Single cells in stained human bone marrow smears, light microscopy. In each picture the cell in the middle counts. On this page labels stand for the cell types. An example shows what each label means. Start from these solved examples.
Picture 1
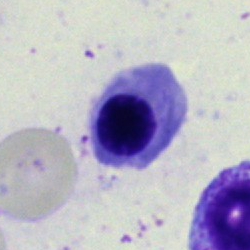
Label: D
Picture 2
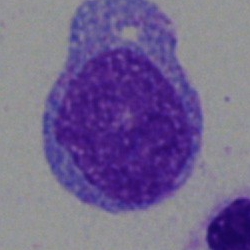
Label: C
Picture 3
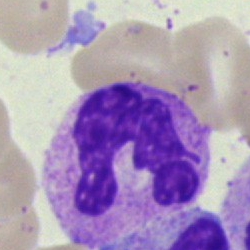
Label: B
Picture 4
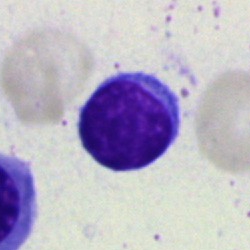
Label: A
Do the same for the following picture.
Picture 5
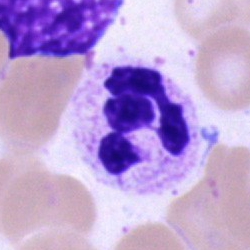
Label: B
